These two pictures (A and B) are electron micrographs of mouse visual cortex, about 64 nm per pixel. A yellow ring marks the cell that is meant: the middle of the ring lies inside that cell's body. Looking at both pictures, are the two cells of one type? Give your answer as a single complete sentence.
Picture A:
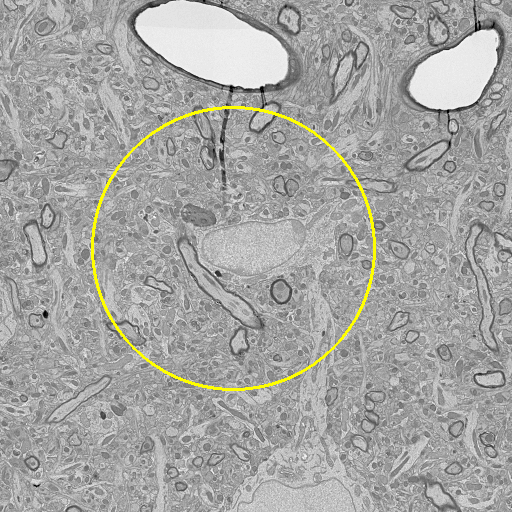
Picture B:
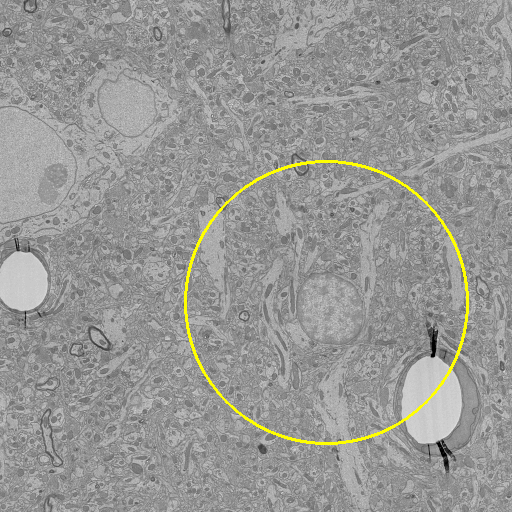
No, they differ: the cell is an astrocyte in picture A and an oligodendrocyte in picture B.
